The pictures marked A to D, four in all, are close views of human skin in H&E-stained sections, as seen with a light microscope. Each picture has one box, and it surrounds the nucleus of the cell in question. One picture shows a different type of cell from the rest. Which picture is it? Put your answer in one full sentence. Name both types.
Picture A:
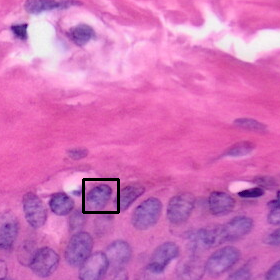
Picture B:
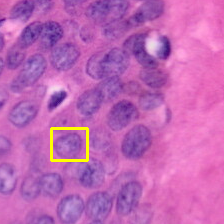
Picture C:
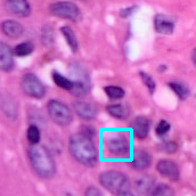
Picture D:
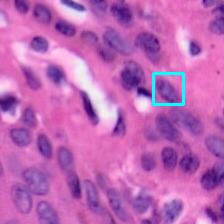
All pictures except B show basal keratinocytes; picture B shows a suprabasal keratinocyte.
